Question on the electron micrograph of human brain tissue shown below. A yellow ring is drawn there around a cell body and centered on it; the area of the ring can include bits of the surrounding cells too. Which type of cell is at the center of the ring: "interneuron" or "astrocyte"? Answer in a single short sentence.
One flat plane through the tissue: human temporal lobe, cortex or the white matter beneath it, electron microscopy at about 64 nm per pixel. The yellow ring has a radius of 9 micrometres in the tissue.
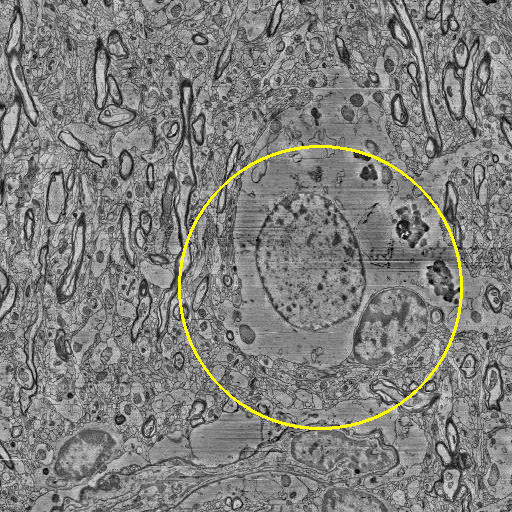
The ring is centered on an astrocyte.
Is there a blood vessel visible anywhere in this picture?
Yes, a blood vessel is present in this picture.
